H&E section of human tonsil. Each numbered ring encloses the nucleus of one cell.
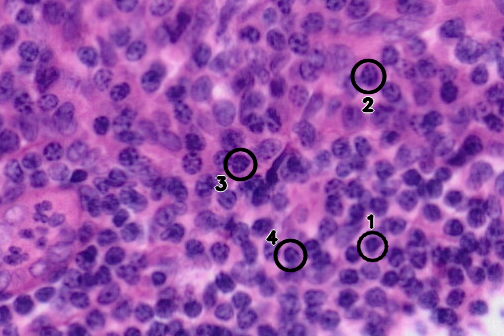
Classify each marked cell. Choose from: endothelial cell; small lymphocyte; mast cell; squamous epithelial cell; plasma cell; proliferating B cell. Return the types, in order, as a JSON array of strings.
["small lymphocyte", "plasma cell", "plasma cell", "small lymphocyte"]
